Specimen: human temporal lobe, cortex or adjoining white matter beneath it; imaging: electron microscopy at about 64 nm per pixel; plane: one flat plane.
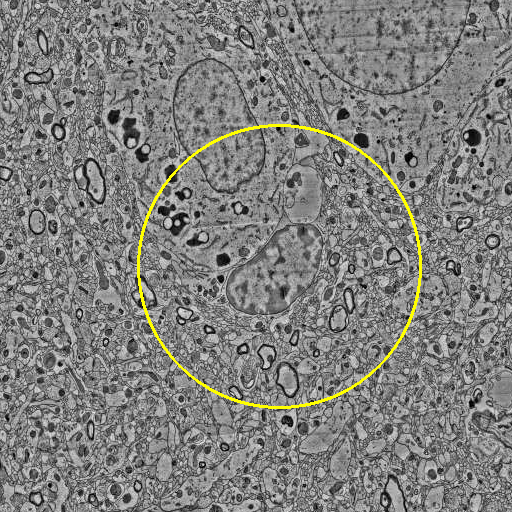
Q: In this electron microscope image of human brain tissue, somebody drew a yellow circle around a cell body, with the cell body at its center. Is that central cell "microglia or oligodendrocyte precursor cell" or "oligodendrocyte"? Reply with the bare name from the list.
microglia or oligodendrocyte precursor cell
